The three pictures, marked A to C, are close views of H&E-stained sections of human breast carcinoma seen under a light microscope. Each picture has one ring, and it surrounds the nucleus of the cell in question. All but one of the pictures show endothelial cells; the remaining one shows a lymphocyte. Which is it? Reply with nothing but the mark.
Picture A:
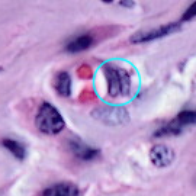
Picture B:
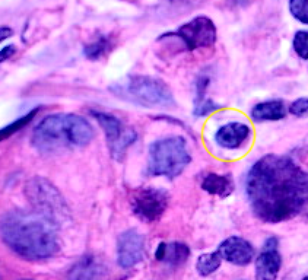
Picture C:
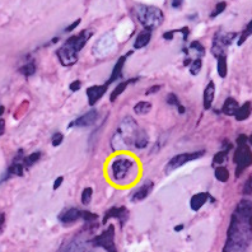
B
